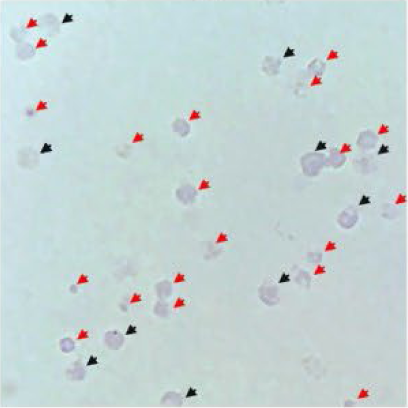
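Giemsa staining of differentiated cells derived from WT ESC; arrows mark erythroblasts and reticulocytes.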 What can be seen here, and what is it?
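Two kinds of cell are mixed. Larger round cells stain bluish-purple and look denser. Smaller cells are paler, pinkish-violet, some slightly irregular in outline. Cells are well separated, with few overlaps, and no tissue architecture is present.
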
